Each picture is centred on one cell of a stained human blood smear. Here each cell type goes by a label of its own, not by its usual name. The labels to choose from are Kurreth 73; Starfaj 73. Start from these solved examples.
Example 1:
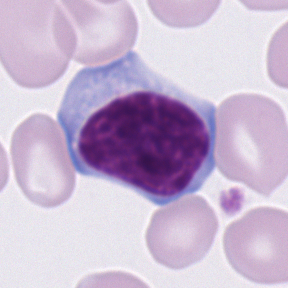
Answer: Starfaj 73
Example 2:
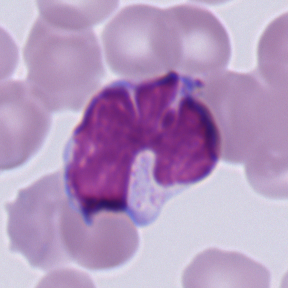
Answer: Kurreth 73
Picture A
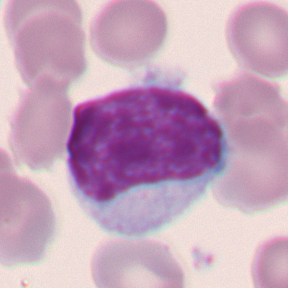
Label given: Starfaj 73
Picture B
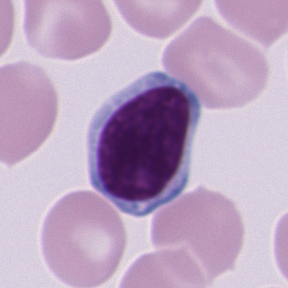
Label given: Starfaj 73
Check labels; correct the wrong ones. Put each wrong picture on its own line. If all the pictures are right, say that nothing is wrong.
Every label is right.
